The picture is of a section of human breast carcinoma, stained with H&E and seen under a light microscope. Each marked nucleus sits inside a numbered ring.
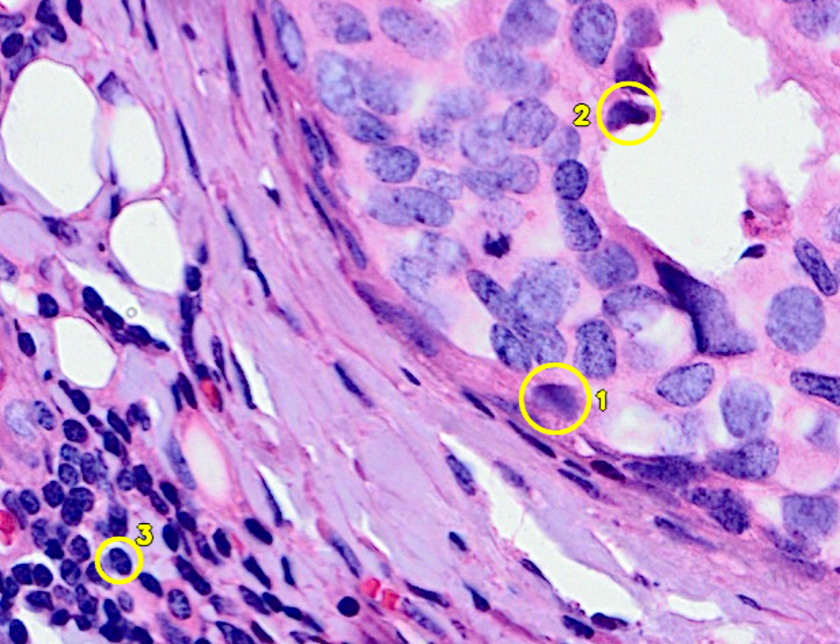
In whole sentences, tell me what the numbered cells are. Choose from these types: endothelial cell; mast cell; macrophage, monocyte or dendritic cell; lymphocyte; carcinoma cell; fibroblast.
Cell 1 is a carcinoma cell, cell 2 is a carcinoma cell and cell 3 is a lymphocyte.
